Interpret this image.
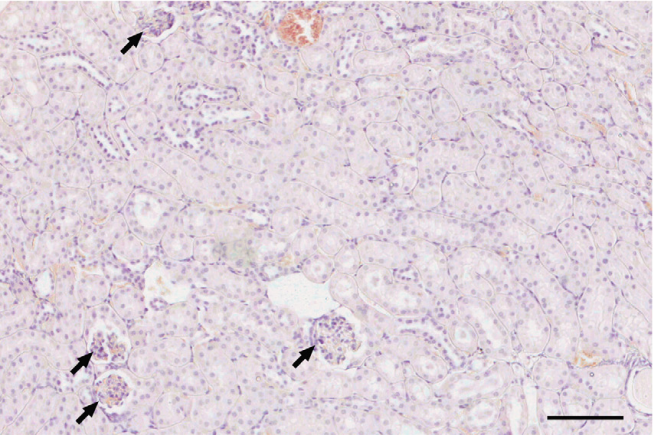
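This is kidney cortex, made up mostly of closely packed cross-sections of tubules with a few glomeruli scattered among them. The tubules are lined by cuboidal epithelial cells with pale pink cytoplasm and round purple nuclei around small lumens.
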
